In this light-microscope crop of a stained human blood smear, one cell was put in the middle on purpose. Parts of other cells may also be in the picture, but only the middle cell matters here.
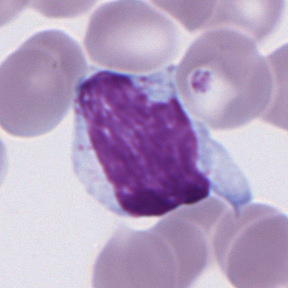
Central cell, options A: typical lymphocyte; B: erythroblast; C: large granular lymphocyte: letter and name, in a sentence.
Option C is correct here, and the cell in the middle is a large granular lymphocyte.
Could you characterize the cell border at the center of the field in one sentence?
The margin of this cell is irregular, showing raggedness or projections instead of smoothness.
